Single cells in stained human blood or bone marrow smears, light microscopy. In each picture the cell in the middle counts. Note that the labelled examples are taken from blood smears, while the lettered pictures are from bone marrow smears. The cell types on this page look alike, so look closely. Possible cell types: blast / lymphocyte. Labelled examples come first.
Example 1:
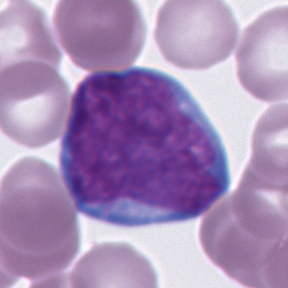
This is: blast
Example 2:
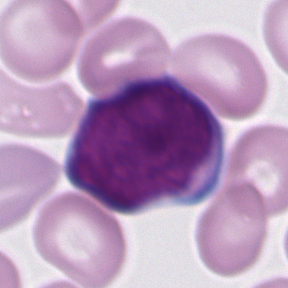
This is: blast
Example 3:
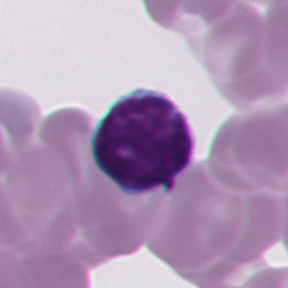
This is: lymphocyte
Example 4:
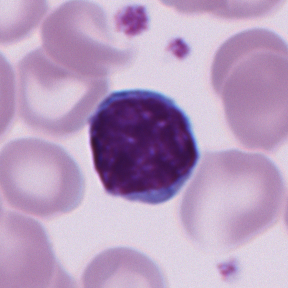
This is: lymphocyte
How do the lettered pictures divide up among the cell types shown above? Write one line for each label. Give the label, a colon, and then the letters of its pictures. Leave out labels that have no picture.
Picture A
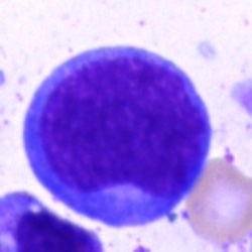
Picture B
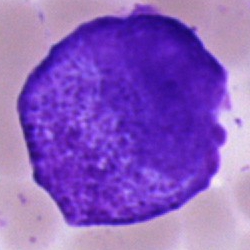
blast: A, B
